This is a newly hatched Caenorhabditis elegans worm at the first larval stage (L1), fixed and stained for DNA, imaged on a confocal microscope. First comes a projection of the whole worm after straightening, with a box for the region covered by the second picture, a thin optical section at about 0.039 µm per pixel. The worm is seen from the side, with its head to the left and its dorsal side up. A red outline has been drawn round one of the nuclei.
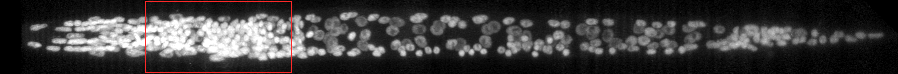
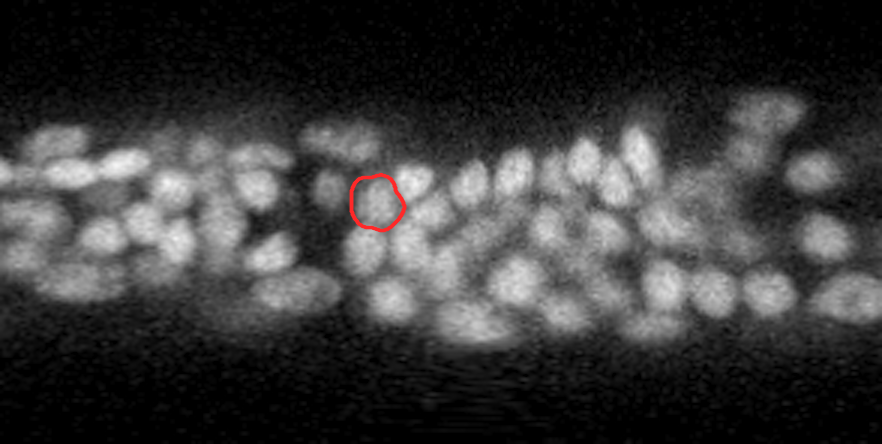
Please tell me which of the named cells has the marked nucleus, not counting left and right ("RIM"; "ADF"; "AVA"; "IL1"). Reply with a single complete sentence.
This is the nucleus of AVA, a neuron.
